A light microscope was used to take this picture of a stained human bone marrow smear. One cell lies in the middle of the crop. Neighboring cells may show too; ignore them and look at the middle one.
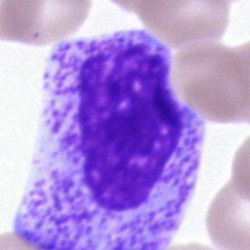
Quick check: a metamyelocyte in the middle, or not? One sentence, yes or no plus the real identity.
No, it is not a metamyelocyte that lies in the middle but a myelocyte.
